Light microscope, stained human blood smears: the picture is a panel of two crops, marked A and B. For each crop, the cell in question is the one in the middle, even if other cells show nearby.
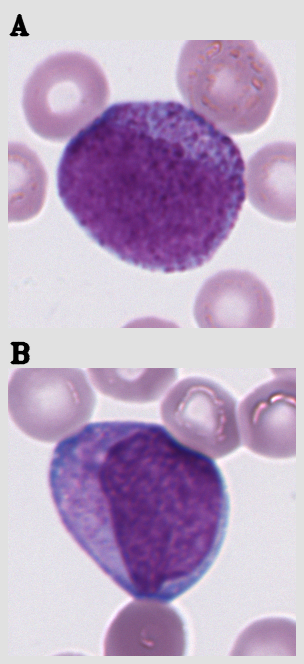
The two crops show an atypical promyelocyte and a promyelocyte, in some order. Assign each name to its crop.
A: promyelocyte
B: atypical promyelocyte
